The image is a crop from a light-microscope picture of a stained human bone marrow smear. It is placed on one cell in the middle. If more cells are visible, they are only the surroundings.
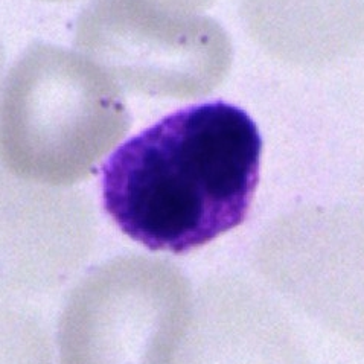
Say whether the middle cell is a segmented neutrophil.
no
